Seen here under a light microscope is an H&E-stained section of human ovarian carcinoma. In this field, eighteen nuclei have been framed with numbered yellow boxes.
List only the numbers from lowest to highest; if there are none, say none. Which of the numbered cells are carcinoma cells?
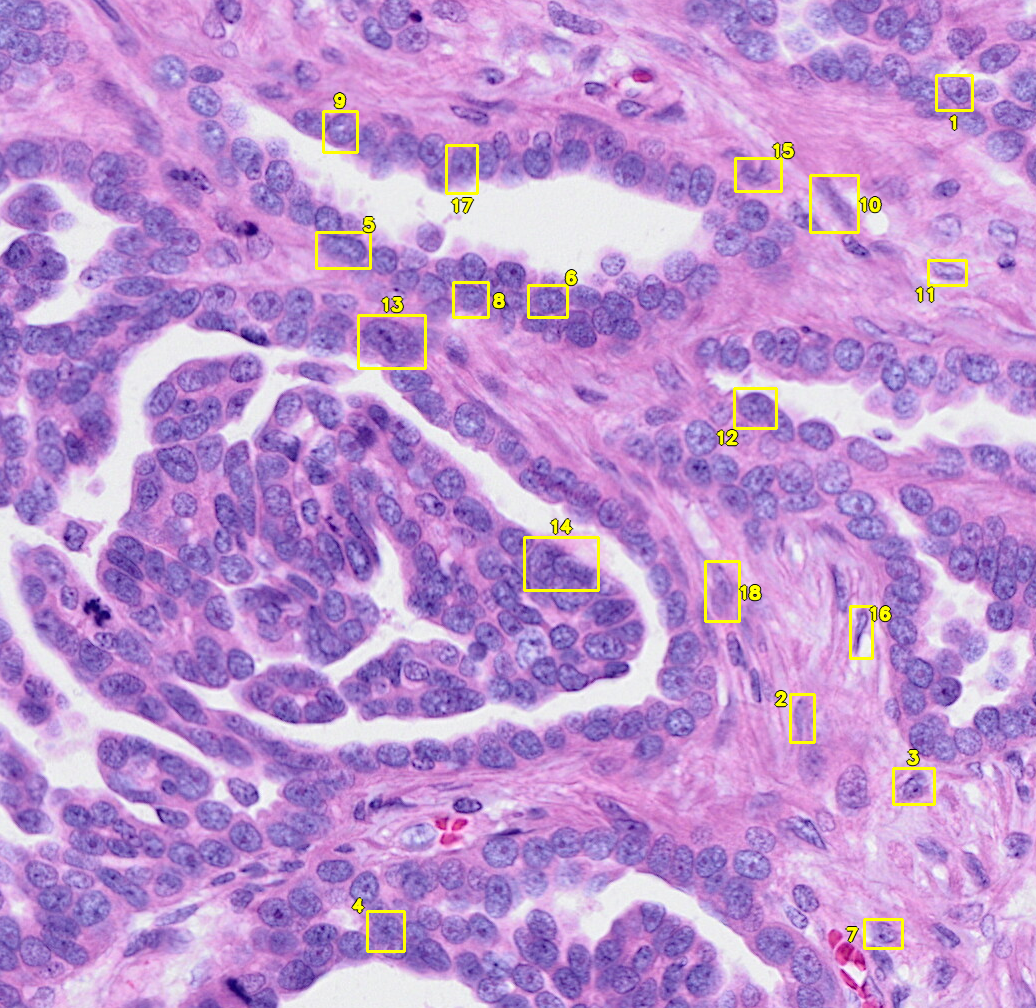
1, 4, 5, 6, 8, 9, 12, 13, 14, 17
